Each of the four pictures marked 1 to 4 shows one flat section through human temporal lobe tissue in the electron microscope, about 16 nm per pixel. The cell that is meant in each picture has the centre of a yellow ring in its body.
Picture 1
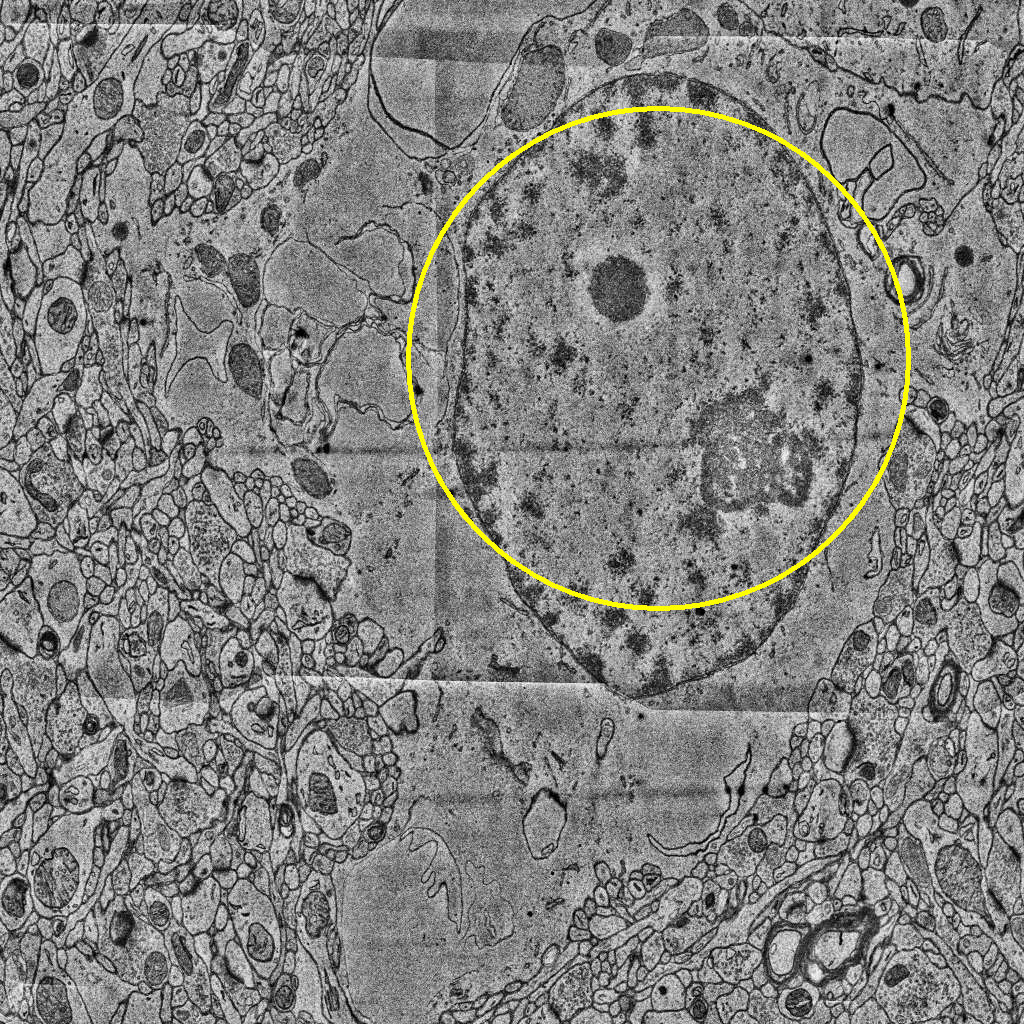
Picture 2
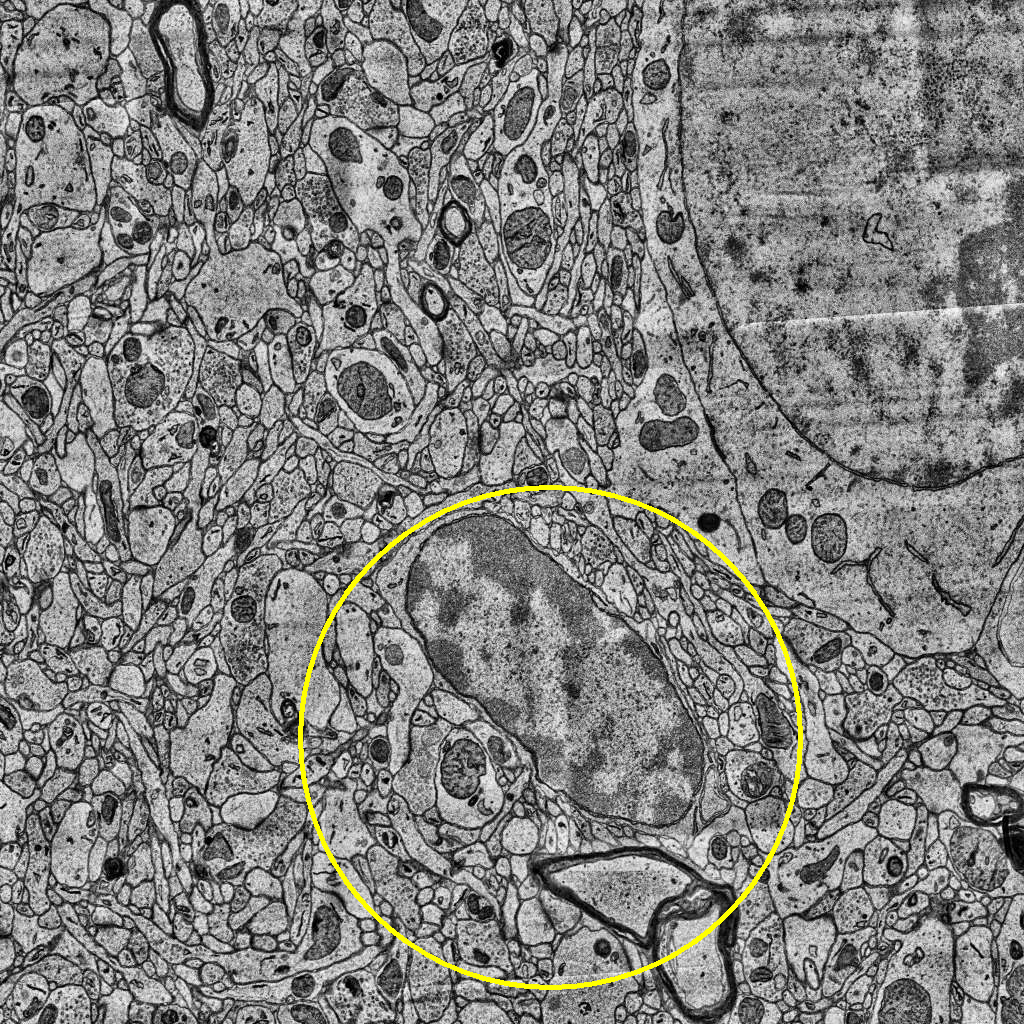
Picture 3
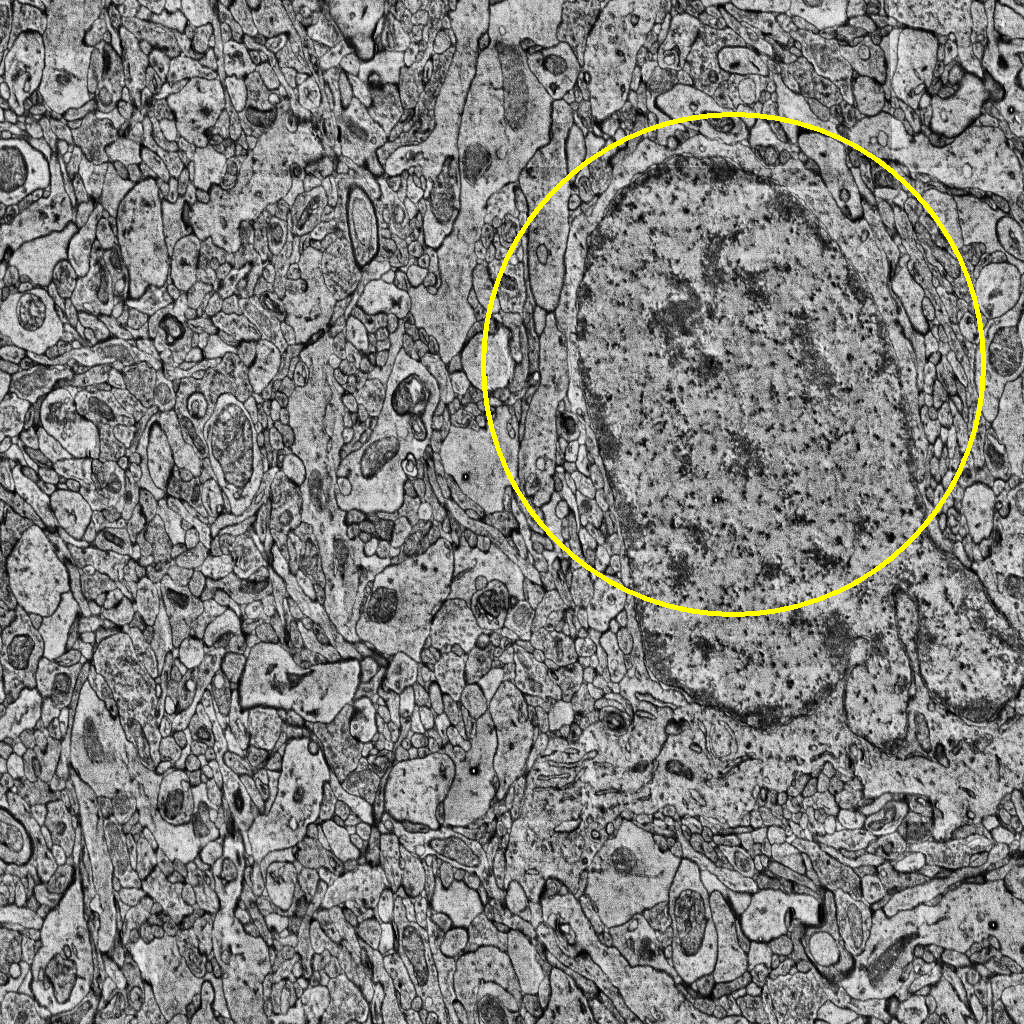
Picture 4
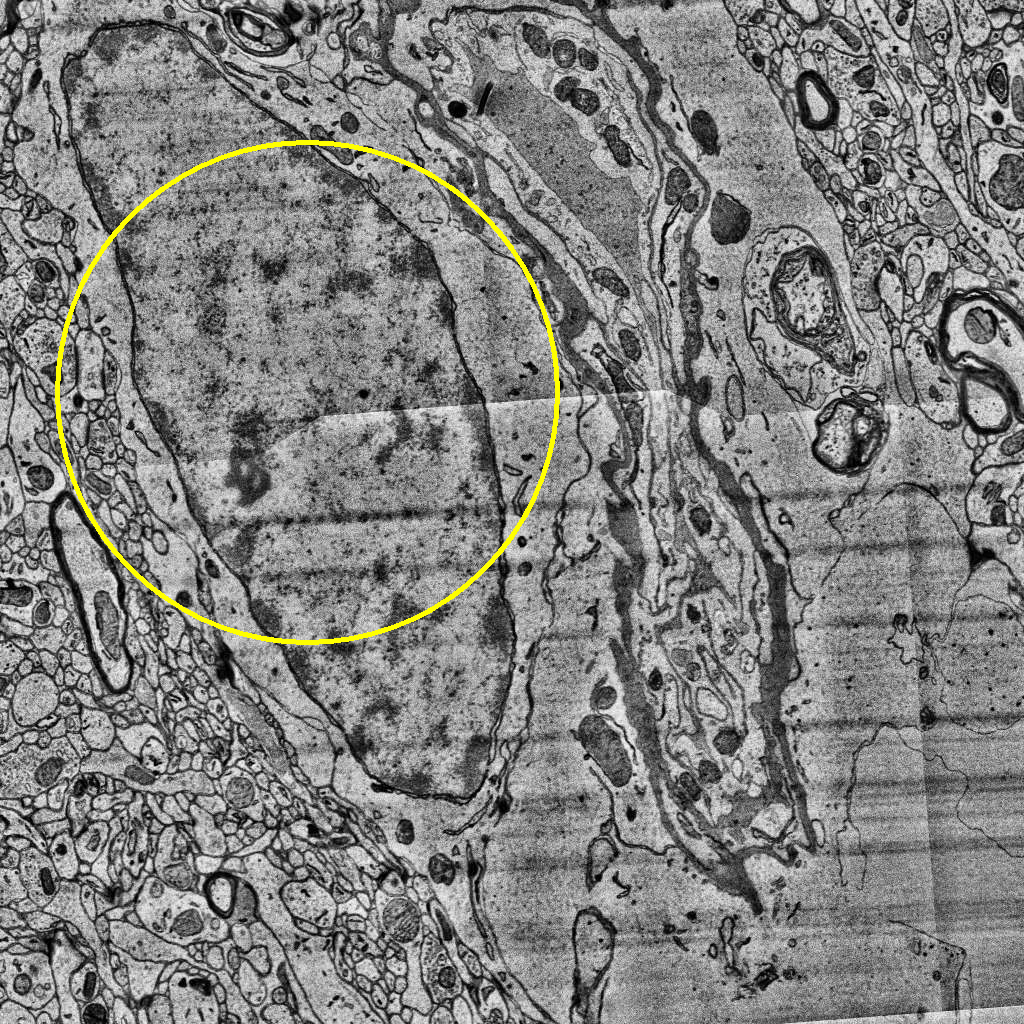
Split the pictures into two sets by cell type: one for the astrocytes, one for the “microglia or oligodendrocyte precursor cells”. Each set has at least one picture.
Picture 1 shows an astrocyte; pictures 2, 3 and 4 show “microglia or oligodendrocyte precursor cells”.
